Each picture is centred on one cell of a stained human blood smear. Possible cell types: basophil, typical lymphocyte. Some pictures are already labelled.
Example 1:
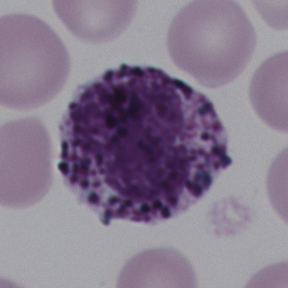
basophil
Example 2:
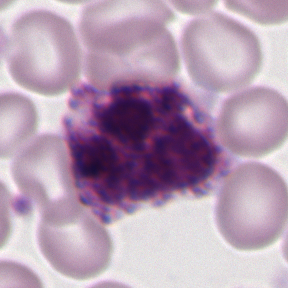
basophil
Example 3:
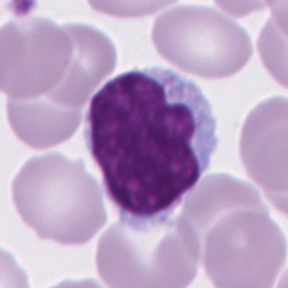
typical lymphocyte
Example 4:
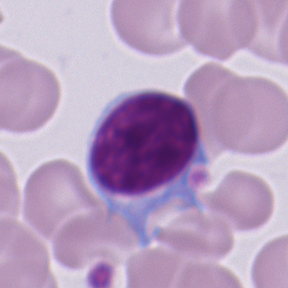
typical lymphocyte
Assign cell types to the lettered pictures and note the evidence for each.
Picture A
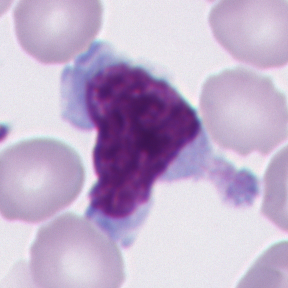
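typical lymphocyte: Fine purple granules lie at the tip of the lower-right cytoplasmic tail.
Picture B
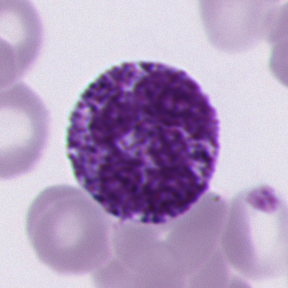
basophil: Coarse dark purple granules fill the whole cell.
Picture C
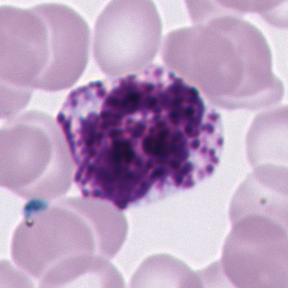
basophil: The cell is filled with many coarse dark purple granules.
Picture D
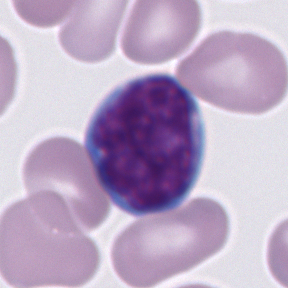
typical lymphocyte: The thin rim of cytoplasm is blue.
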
